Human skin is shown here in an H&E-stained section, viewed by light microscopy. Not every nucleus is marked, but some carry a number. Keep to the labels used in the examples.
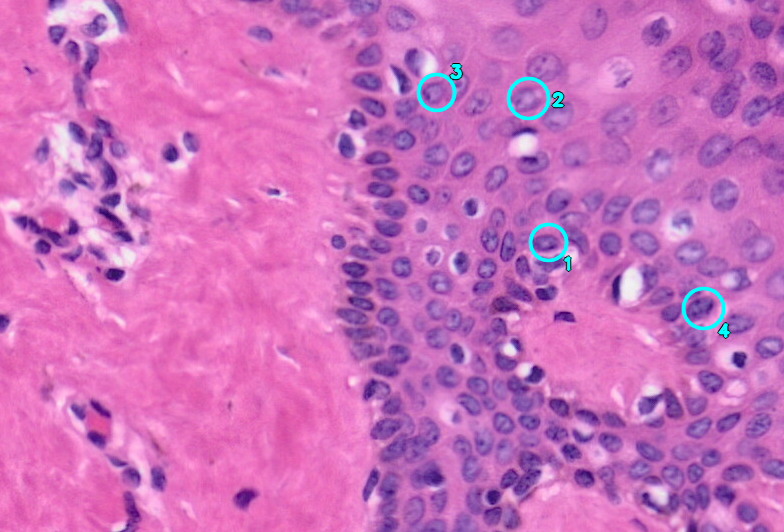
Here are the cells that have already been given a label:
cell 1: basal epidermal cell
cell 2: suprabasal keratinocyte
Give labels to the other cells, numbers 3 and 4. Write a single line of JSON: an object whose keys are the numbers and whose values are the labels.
{"3": "suprabasal keratinocyte", "4": "basal epidermal cell"}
